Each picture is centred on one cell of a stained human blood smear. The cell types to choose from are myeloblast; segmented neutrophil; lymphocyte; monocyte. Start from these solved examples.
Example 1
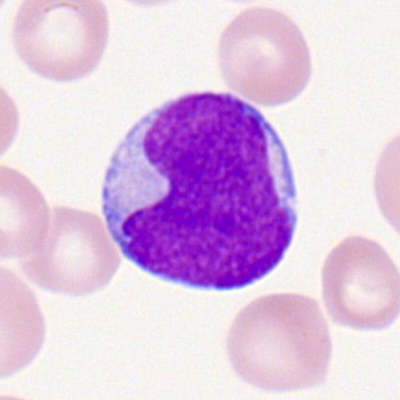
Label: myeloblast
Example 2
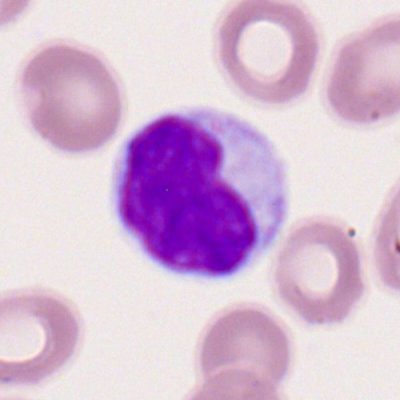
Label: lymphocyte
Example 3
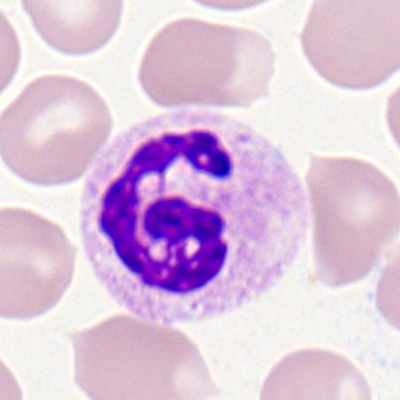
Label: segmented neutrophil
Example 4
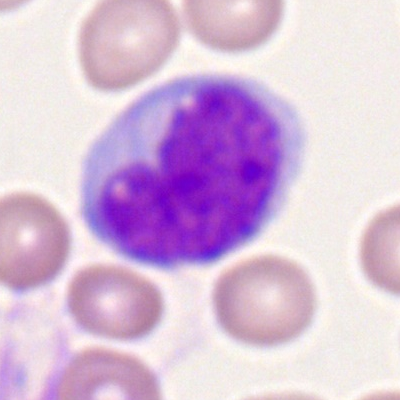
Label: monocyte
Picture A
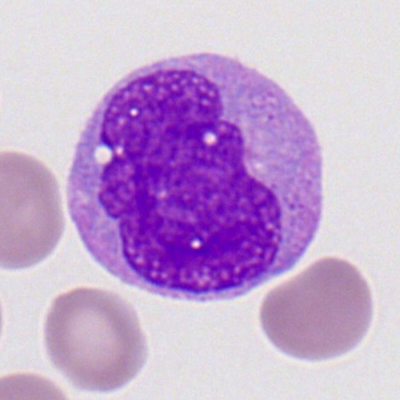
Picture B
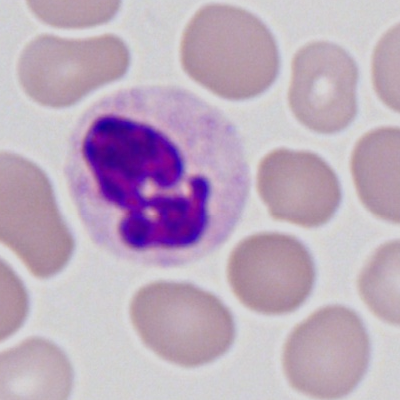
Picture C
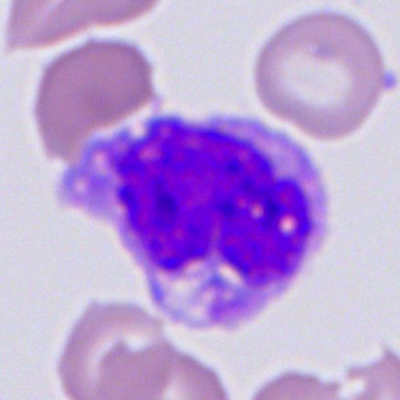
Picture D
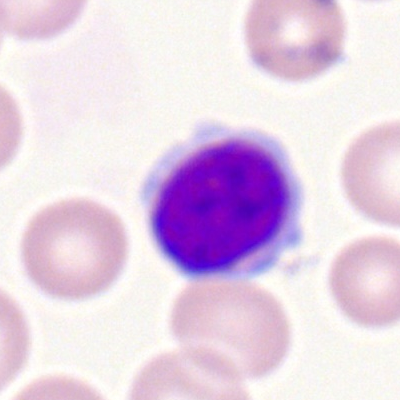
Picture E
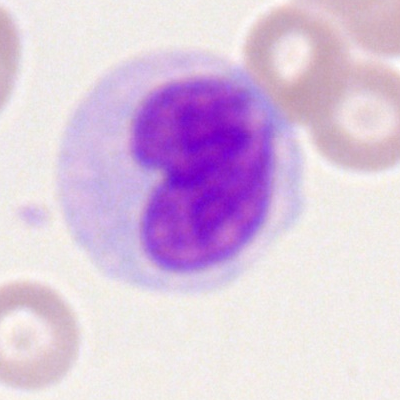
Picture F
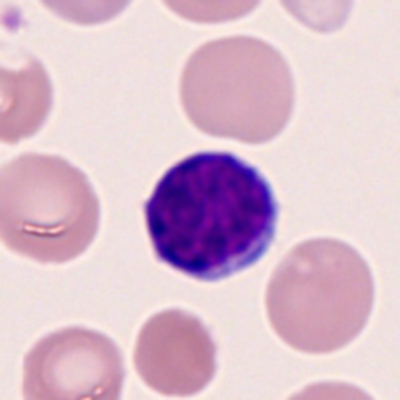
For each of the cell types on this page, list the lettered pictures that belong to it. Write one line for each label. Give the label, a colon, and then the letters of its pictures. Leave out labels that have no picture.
segmented neutrophil: B
lymphocyte: D, F
monocyte: A, C, E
